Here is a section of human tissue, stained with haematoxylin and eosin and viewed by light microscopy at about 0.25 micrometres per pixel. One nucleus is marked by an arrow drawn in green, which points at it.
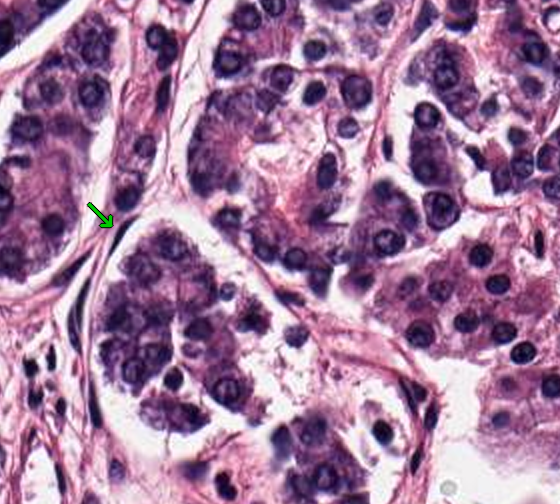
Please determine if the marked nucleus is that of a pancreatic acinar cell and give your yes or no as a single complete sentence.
No, the marked nucleus is not that of a pancreatic acinar cell but that of a supporting cell.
